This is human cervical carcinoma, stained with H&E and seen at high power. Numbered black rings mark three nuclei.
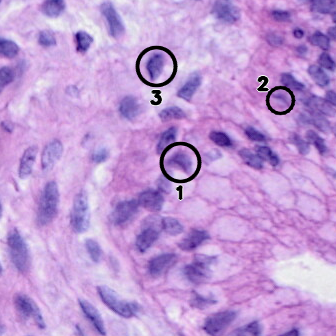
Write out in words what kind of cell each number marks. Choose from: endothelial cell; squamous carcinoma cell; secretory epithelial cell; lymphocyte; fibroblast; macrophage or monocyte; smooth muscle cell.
Cells 1 and 2 are secretory epithelial cells. Cell 3 is a fibroblast.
